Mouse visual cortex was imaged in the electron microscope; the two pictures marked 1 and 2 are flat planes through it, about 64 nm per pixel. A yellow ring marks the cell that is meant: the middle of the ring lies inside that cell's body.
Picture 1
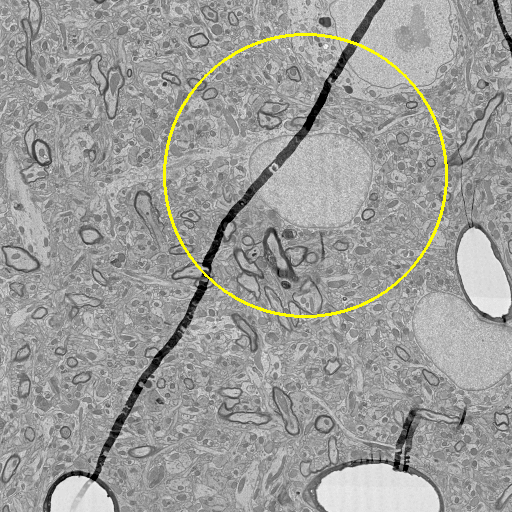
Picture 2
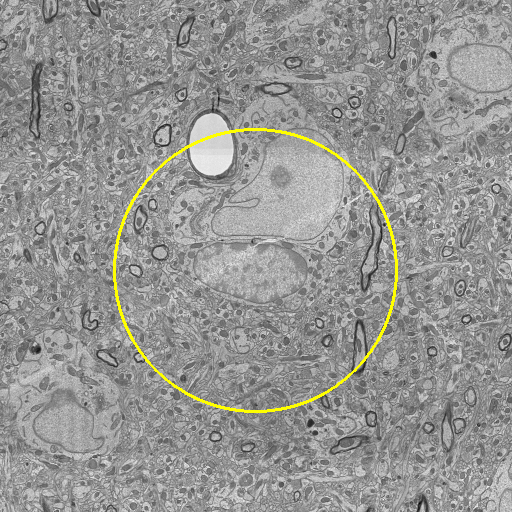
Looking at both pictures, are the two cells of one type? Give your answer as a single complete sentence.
No, picture 1 shows an astrocyte and picture 2 shows an oligodendrocyte.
